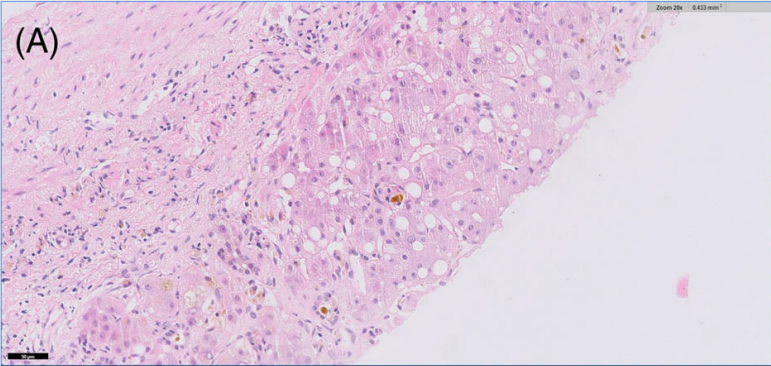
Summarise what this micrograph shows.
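This is liver, with plates of large polygonal hepatocytes showing pink cytoplasm and round central nuclei, some with visible nucleoli. Scattered among the cells are golden-brown plugs and granules of pigment, sitting in tiny channels between hepatocytes and within cells, the picture of bile retention. Toward one edge the tissue becomes fibrous and pinker, with elongated spindle nuclei and small dark inflammatory cells scattered through it.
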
